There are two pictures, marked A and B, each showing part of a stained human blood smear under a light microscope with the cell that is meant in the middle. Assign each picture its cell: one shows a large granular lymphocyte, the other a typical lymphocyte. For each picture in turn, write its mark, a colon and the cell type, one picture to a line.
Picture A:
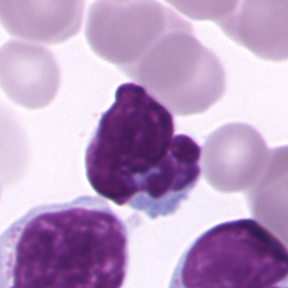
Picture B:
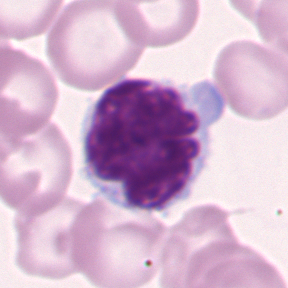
A: large granular lymphocyte
B: typical lymphocyte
